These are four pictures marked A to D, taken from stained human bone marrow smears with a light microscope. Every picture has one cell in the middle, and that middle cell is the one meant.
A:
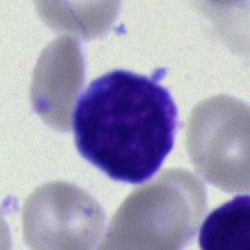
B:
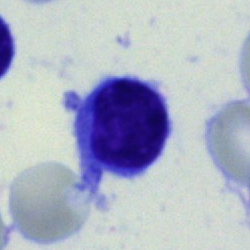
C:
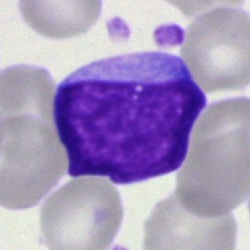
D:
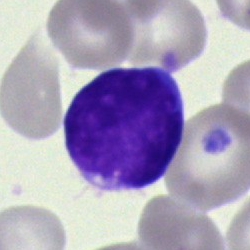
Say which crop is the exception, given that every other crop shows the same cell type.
B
